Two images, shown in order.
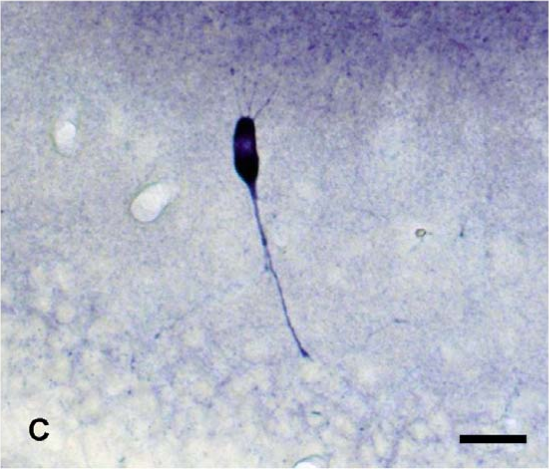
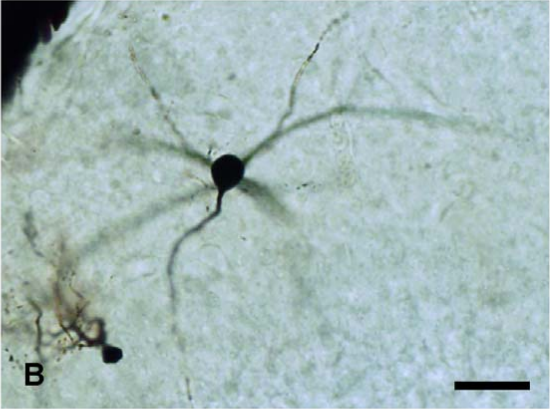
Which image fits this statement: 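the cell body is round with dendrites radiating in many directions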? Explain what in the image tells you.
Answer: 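First image: the cell body is elongated and its processes run mainly up and down. Second image: the cell body is round and dendrites radiate in several directions. So: the second image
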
